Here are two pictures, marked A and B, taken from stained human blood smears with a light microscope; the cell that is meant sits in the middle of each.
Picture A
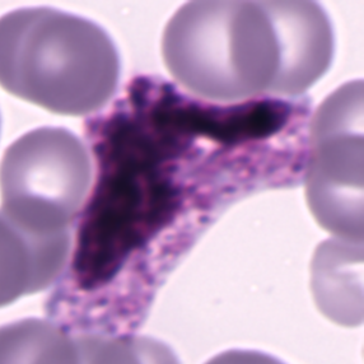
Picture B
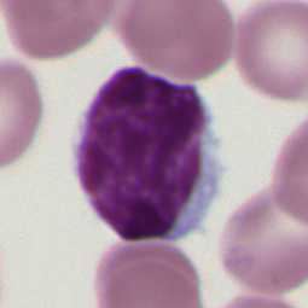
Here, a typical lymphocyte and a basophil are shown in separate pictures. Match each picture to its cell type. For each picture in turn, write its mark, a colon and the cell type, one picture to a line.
A: basophil
B: typical lymphocyte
